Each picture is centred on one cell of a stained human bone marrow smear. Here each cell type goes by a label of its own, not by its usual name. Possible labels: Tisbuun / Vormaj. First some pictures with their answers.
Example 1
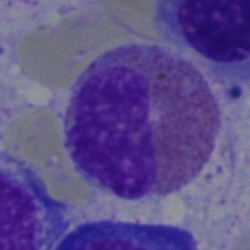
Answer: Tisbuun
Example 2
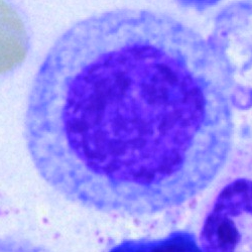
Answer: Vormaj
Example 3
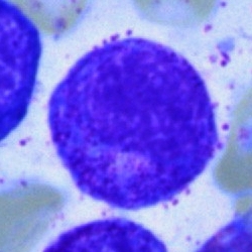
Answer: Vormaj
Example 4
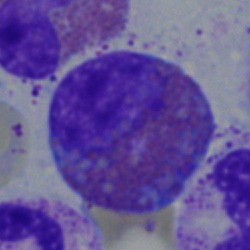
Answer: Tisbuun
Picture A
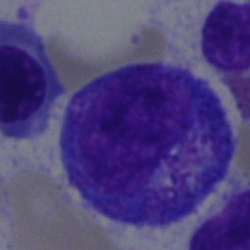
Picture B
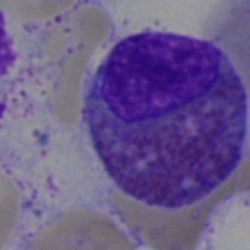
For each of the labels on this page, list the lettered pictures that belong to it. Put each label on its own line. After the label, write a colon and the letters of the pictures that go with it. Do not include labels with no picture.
Tisbuun: B
Vormaj: A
